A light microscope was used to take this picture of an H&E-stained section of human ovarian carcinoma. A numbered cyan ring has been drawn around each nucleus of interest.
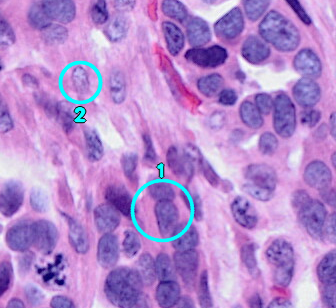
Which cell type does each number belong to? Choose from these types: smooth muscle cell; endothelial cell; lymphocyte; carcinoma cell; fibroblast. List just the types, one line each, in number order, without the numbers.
carcinoma cell
fibroblast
